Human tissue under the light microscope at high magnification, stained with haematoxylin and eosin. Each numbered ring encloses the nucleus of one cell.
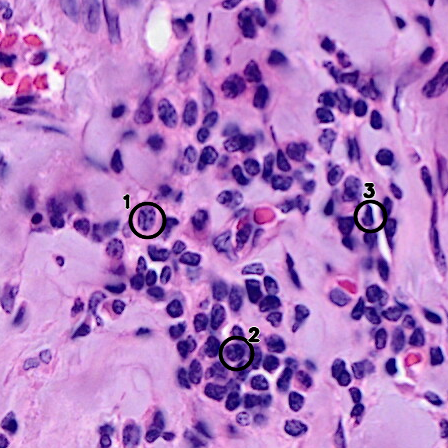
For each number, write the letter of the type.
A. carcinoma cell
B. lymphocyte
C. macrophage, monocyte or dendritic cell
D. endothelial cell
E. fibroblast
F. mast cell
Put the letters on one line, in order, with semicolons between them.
F; B; B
